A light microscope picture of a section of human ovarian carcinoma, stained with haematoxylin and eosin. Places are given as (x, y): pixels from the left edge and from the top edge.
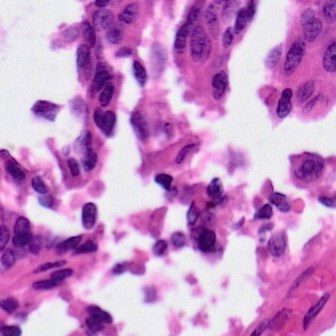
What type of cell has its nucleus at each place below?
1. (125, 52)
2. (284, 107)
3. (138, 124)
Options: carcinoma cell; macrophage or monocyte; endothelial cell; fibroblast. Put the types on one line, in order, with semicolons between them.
carcinoma cell; macrophage or monocyte; carcinoma cell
